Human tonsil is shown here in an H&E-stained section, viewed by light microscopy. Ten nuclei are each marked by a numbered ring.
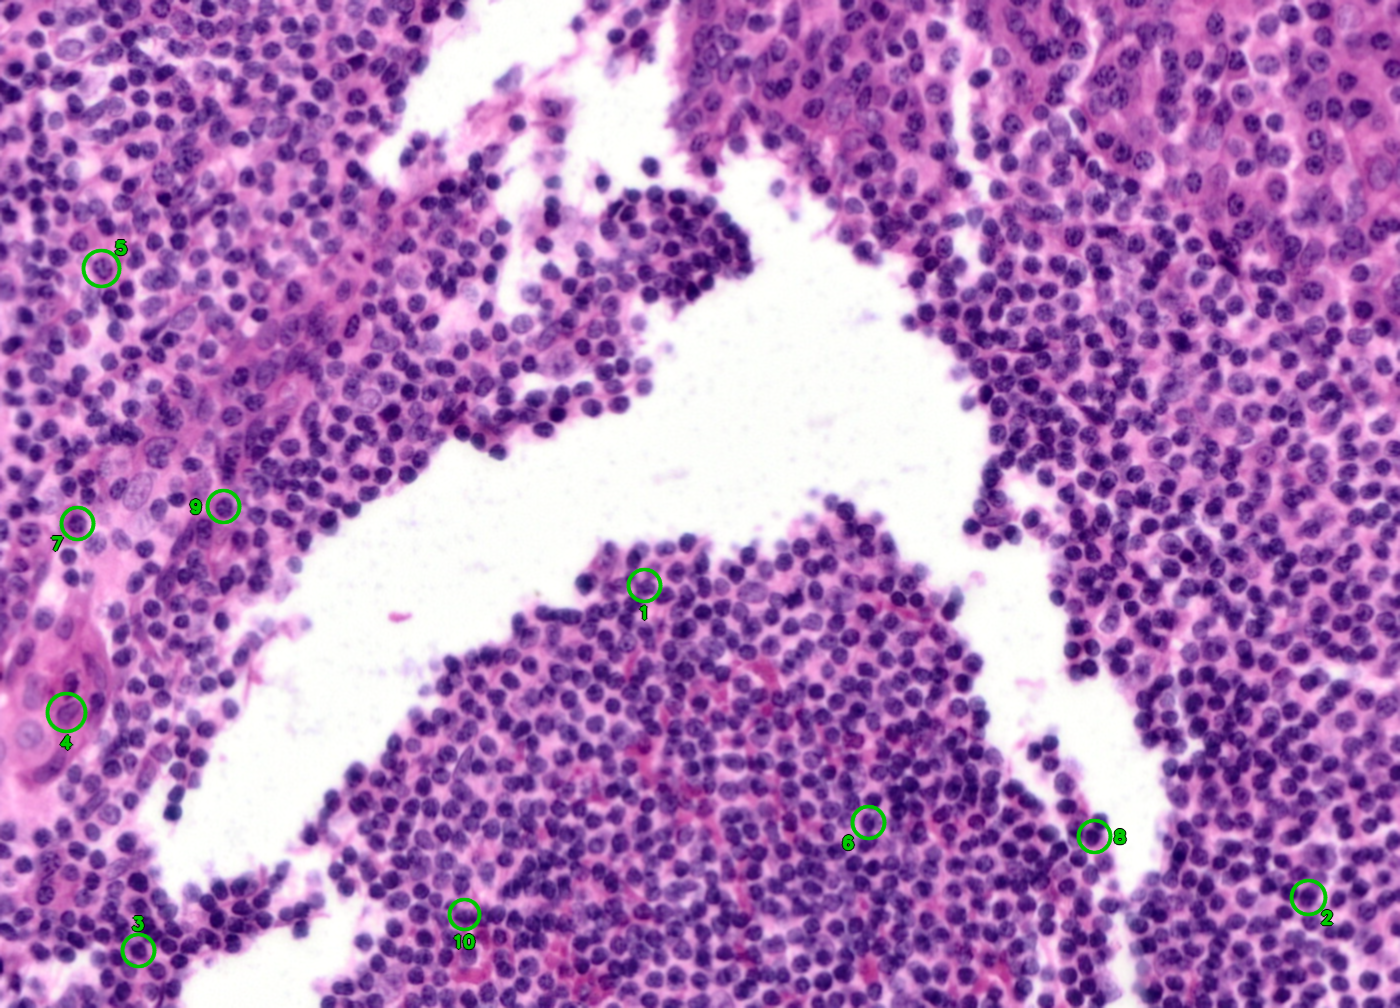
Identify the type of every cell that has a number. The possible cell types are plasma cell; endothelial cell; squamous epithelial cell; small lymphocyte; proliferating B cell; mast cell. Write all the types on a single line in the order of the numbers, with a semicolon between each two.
small lymphocyte; small lymphocyte; small lymphocyte; squamous epithelial cell; plasma cell; small lymphocyte; plasma cell; small lymphocyte; plasma cell; small lymphocyte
